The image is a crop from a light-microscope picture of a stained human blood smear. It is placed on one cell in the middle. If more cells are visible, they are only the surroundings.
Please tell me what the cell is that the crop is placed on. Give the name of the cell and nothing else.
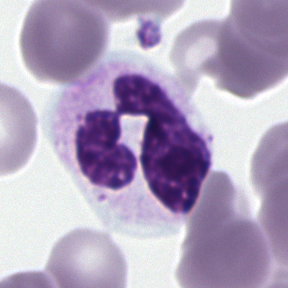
segmented neutrophil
